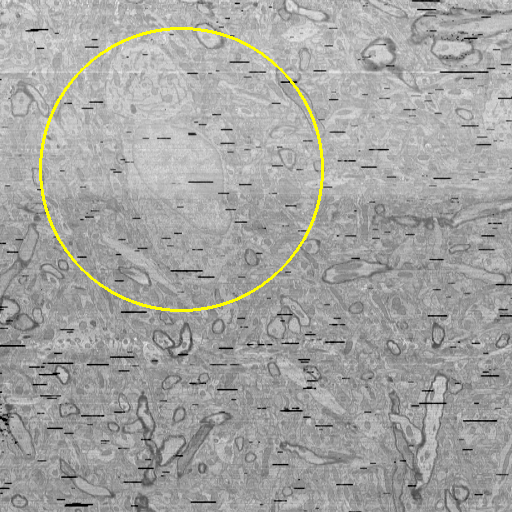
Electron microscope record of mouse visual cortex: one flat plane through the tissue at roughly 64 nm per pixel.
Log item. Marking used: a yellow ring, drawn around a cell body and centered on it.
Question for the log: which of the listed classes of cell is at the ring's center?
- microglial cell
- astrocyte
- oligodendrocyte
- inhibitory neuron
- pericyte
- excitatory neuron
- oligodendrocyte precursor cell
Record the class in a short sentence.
At the center of the ring lies an oligodendrocyte.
